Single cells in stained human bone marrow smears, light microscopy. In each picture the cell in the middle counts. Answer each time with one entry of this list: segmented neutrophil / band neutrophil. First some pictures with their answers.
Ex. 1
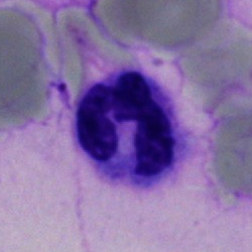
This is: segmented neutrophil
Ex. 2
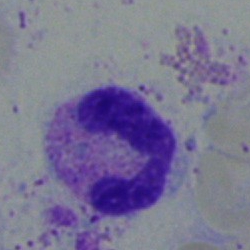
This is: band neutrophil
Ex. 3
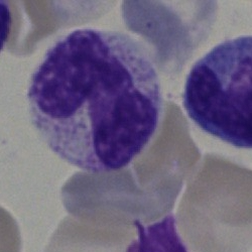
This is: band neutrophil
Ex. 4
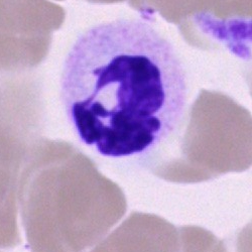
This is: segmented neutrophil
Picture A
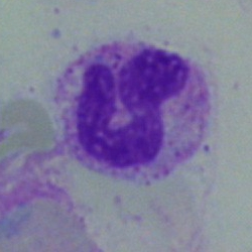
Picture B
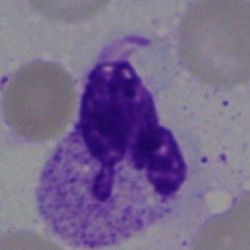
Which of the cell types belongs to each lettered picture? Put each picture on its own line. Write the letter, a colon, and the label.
A: band neutrophil
B: segmented neutrophil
